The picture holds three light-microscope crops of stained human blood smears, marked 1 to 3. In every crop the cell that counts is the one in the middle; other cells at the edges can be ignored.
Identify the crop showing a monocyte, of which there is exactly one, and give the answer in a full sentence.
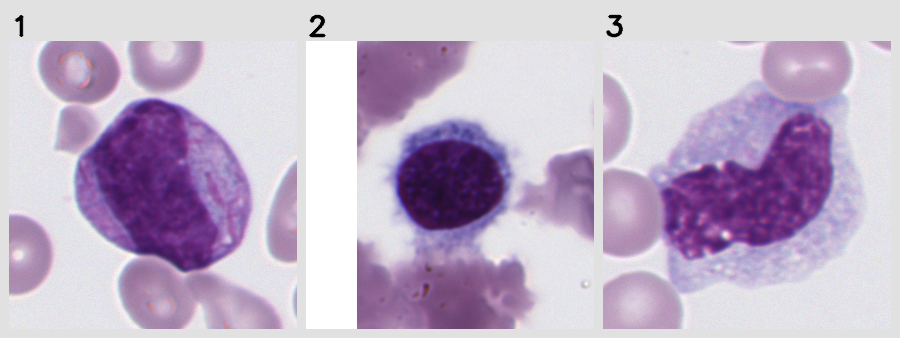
Crop 3 is the one depicting a monocyte.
